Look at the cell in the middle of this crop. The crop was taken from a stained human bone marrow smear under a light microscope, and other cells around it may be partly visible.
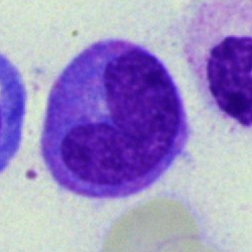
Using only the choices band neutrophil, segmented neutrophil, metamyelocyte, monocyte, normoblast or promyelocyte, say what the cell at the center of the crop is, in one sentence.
The crop's centre is taken up by a monocyte.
